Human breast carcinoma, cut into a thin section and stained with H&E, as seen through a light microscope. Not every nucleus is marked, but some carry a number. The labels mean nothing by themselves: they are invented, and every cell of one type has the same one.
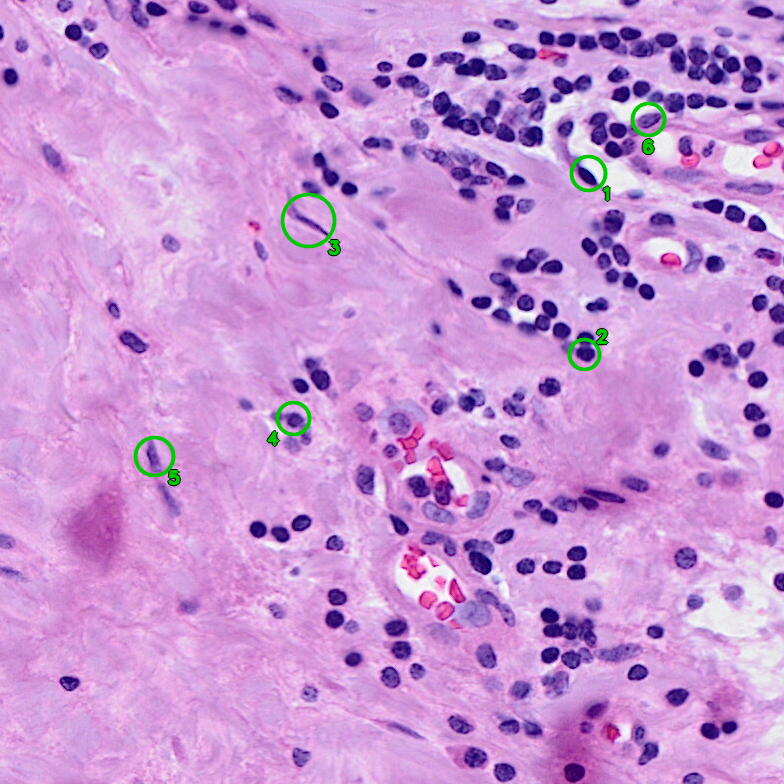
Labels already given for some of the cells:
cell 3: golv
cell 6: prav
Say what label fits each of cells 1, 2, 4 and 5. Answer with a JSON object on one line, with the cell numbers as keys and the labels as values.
{"1": "prav", "2": "prav", "4": "prav", "5": "golv"}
